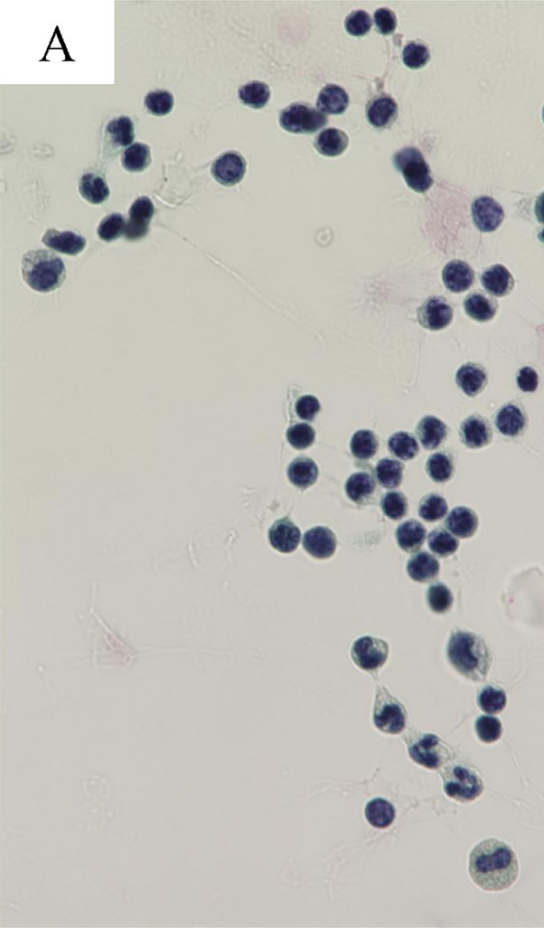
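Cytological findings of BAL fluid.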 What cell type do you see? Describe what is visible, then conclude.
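Most cells are small and round with a dark, round nucleus. The cytoplasm is a thin rim or barely visible. A few larger cells with paler, more abundant cytoplasm lie among them. On this evidence: lymphocytes.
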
